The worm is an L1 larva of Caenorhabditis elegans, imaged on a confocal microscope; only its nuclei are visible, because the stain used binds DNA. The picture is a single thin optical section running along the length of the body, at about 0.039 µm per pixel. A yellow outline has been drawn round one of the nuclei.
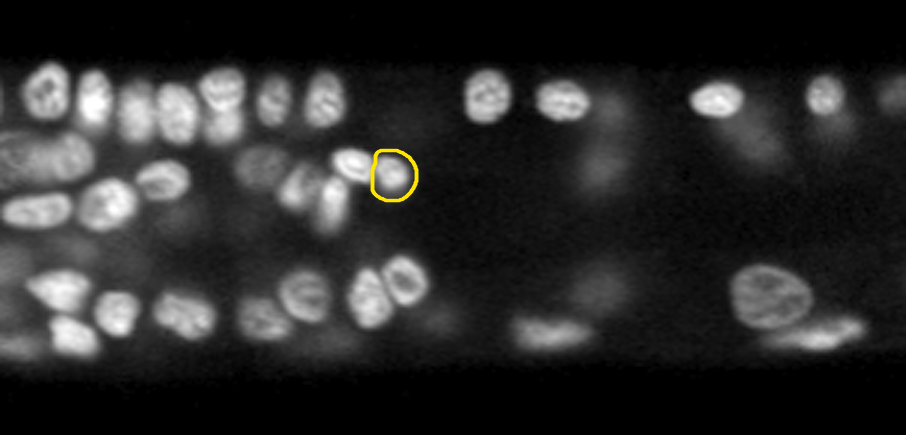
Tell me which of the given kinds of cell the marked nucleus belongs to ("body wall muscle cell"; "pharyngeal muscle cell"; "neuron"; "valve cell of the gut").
pharyngeal muscle cell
